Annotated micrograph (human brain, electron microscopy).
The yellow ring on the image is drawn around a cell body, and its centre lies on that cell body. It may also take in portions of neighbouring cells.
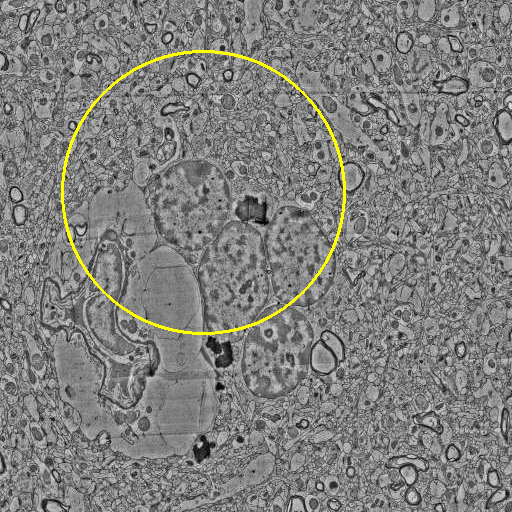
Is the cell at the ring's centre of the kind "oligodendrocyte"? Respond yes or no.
Yes, it is of the named kind.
